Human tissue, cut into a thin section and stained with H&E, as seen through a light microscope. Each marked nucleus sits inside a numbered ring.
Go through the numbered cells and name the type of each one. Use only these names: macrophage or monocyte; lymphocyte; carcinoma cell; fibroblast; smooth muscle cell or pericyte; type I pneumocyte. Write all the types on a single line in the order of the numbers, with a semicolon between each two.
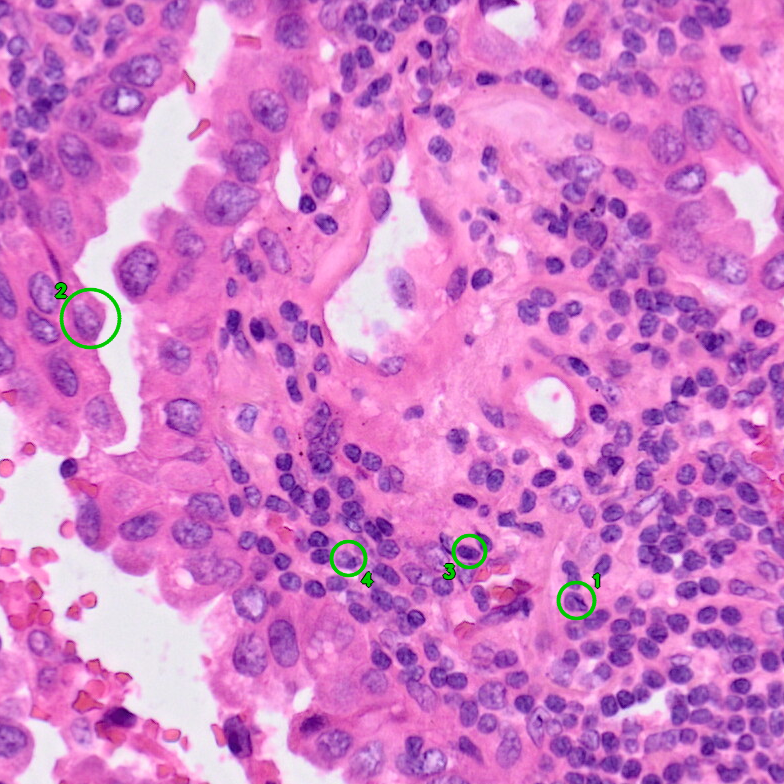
lymphocyte; carcinoma cell; lymphocyte; lymphocyte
